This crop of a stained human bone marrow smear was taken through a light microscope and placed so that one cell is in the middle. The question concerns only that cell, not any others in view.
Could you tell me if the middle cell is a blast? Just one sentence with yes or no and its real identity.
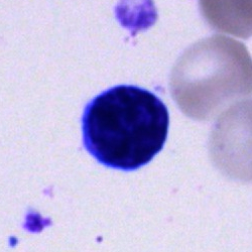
No, the cell in the middle is recognised as a lymphocyte rather than a blast.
